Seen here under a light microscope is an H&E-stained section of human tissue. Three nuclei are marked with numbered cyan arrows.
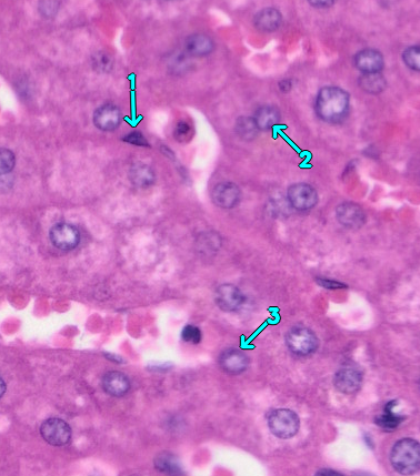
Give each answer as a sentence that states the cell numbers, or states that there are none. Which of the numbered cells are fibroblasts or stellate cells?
Nothing but cell 1 is a fibroblast or stellate cell among the numbered ones.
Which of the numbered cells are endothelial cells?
None of the numbered cells are endothelial cells.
